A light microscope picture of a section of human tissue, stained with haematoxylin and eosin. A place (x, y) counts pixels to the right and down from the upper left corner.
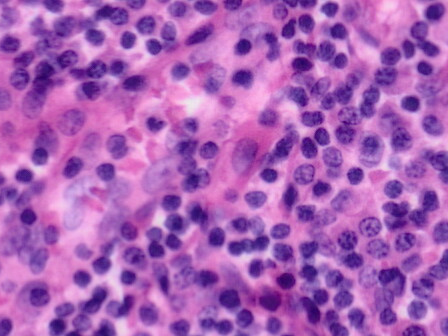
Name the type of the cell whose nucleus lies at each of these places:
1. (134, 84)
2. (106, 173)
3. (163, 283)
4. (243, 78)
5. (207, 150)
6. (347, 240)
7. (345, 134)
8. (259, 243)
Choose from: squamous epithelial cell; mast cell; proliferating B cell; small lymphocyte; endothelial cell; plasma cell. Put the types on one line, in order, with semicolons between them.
endothelial cell; endothelial cell; endothelial cell; endothelial cell; endothelial cell; plasma cell; plasma cell; small lymphocyte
